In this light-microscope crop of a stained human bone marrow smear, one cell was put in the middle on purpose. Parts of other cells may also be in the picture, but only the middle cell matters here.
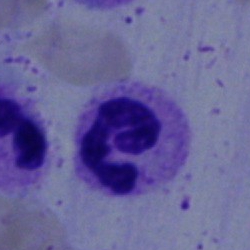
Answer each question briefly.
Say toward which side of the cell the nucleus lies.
left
